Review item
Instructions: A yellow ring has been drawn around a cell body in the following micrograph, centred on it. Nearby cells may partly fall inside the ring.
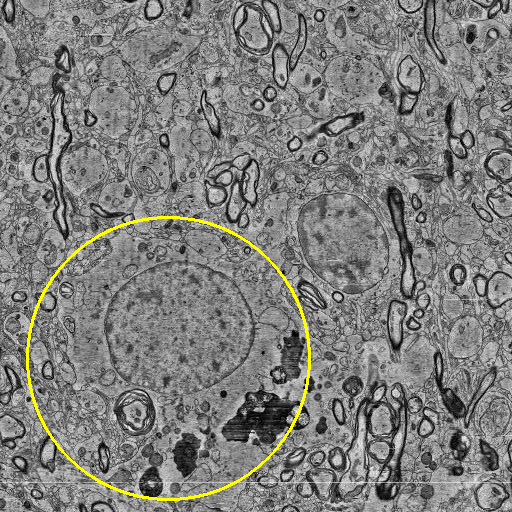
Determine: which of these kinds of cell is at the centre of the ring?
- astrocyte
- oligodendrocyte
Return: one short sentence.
The cell body in the middle of the ring is that of an astrocyte.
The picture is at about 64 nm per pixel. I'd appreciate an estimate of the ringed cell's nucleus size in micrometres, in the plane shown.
In this plane the nucleus measures roughly 9 micrometres across.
